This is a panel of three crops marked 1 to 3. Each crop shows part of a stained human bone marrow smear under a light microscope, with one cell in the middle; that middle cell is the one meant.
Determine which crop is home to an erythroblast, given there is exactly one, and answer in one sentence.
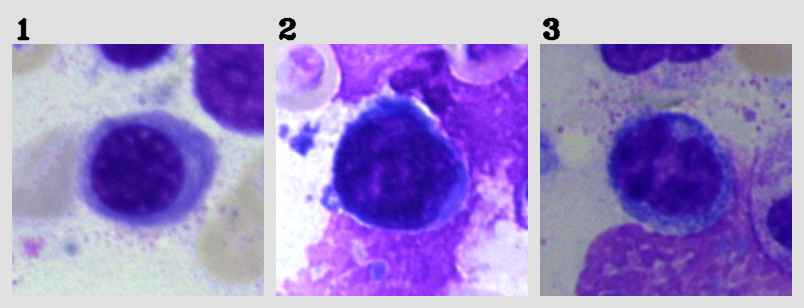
Crop 1 is the one in this set that shows an erythroblast.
